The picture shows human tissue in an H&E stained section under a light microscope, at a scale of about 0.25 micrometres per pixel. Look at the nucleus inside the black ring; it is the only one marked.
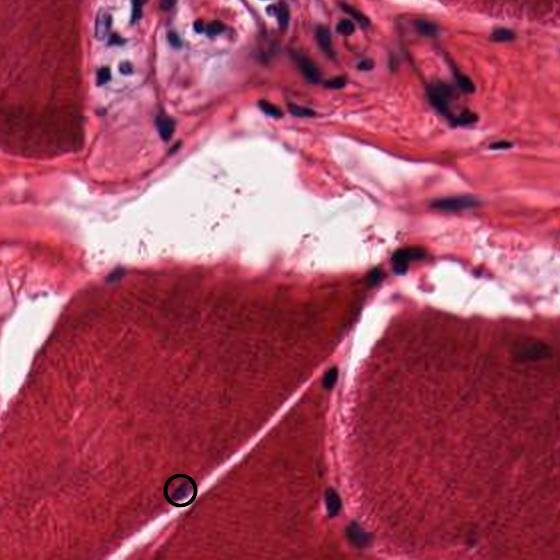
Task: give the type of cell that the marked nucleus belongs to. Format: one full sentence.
The marked nucleus is housed in a skeletal muscle fibre.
